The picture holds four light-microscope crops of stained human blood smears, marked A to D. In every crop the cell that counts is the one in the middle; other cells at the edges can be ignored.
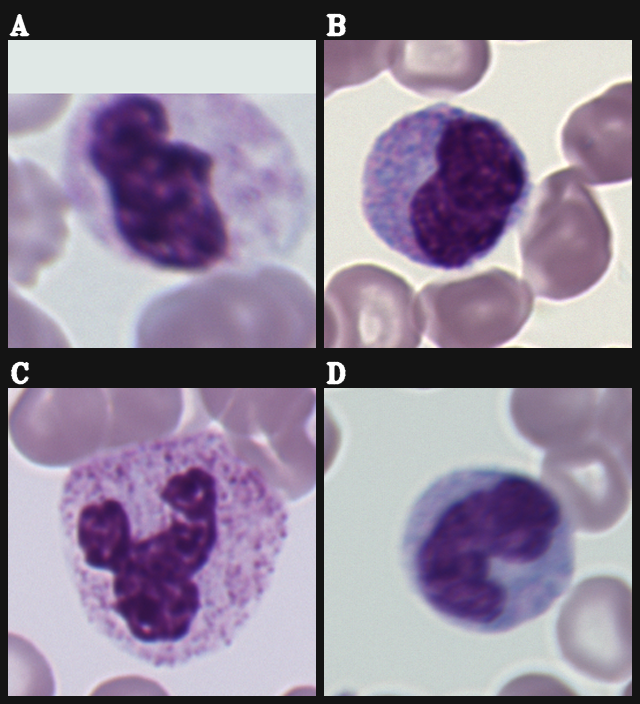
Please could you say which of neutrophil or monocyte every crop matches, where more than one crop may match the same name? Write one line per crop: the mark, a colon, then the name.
A: neutrophil
B: monocyte
C: neutrophil
D: monocyte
